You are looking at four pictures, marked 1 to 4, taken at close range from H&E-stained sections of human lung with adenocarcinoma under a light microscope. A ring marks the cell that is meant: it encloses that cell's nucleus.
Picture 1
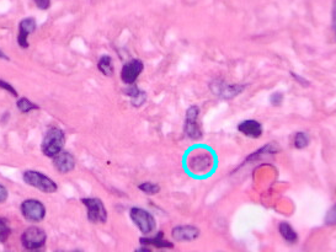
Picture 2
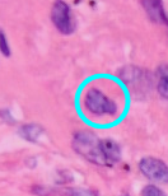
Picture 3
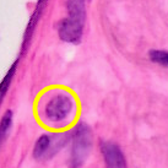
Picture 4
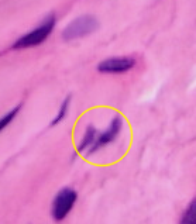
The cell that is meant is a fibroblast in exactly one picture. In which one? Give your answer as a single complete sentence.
The picture with the fibroblast is 4.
